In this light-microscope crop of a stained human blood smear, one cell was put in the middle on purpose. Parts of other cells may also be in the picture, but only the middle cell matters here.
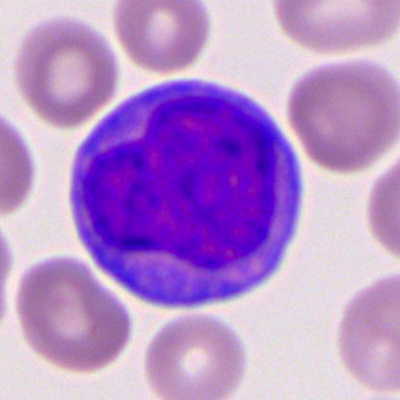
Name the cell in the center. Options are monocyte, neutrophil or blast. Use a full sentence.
The centered cell in this crop is a blast.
